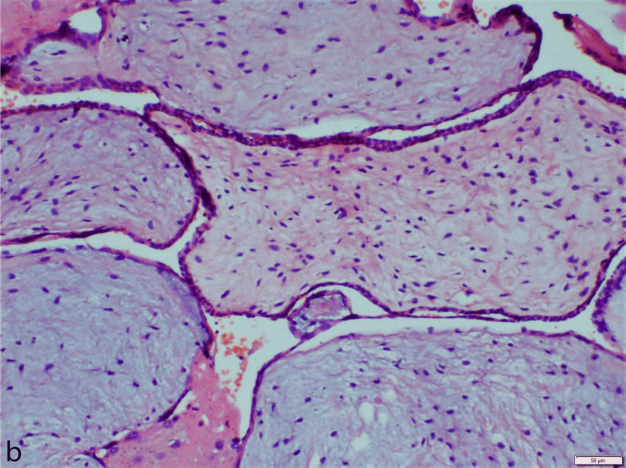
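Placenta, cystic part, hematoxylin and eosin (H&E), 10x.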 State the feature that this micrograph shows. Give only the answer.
abnormally enlarged chorionic villi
